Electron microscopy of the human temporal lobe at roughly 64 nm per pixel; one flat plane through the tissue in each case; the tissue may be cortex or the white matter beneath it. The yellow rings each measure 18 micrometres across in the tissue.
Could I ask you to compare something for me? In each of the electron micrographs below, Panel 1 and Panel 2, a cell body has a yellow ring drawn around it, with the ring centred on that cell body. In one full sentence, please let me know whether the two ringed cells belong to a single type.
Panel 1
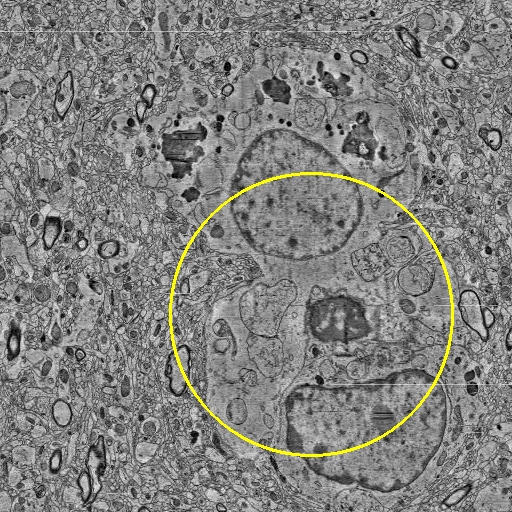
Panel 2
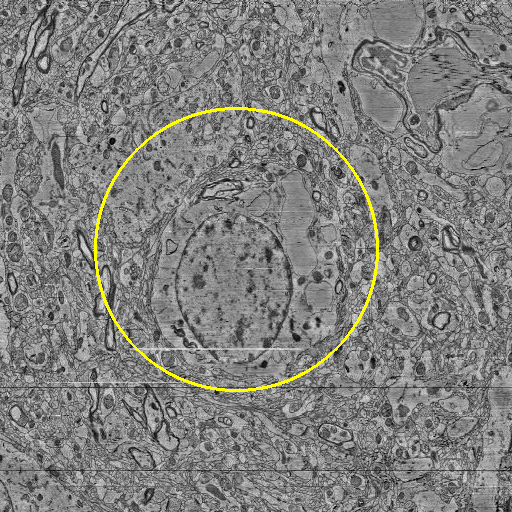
No, the two cells at the centres of the rings are of two types.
